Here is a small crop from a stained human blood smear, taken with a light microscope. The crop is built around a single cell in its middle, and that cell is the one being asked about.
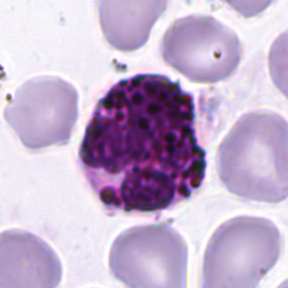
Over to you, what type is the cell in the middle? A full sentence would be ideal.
At the center of the crop sits a basophil.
